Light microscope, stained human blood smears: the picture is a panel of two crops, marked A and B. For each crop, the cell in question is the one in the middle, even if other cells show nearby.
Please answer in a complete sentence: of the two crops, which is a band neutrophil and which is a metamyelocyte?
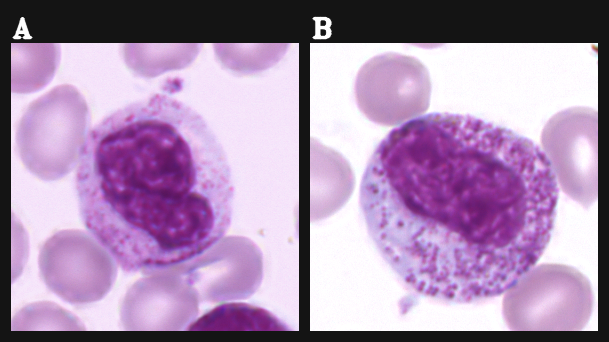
The cell of interest in crop A is a band neutrophil, and in crop B it is a metamyelocyte.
